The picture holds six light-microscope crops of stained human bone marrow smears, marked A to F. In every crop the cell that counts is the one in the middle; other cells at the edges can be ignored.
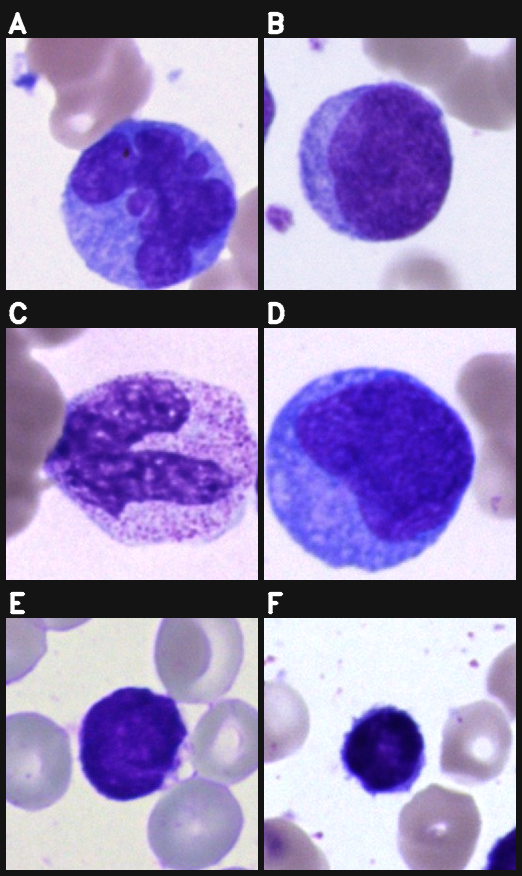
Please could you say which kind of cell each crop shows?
A: blast
B: blast
C: band neutrophil
D: blast
E: lymphocyte
F: lymphocyte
